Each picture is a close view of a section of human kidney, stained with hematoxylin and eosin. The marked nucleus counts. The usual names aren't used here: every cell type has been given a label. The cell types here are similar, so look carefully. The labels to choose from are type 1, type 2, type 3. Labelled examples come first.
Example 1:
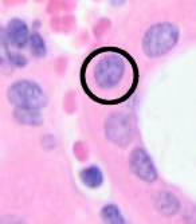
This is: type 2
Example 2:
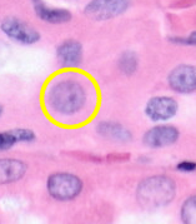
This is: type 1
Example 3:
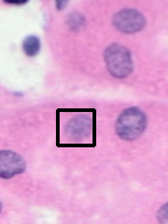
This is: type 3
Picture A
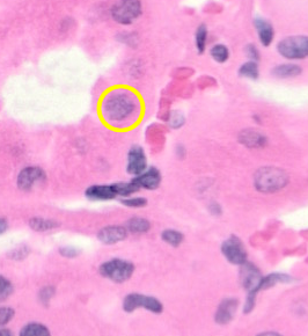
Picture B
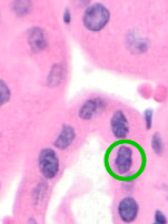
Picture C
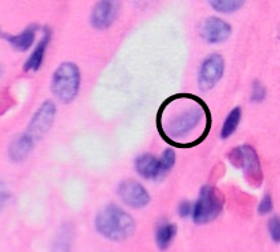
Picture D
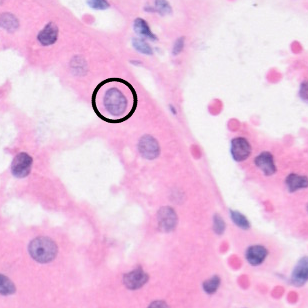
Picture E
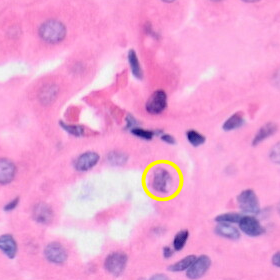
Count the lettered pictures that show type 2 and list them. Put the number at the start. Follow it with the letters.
Count: 2 (B, C)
